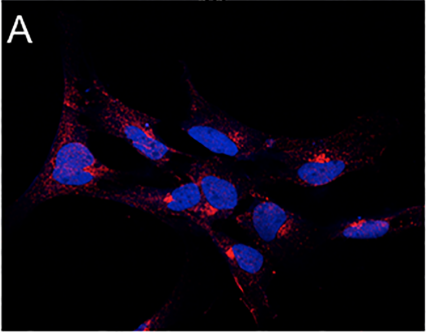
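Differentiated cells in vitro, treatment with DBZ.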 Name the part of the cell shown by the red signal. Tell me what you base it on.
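Cytoplasm. Red dots and patches lie outside the blue oval nuclei. Red spreads through the cell bodies around the nuclei.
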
